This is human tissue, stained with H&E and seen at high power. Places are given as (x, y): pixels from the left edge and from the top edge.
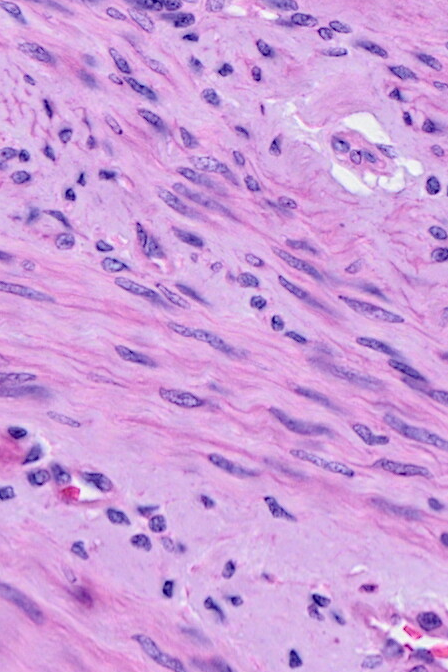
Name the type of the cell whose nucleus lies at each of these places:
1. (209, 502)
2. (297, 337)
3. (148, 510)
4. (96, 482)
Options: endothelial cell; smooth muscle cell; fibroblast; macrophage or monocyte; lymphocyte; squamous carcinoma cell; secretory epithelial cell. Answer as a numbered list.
1. fibroblast
2. smooth muscle cell
3. fibroblast
4. endothelial cell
